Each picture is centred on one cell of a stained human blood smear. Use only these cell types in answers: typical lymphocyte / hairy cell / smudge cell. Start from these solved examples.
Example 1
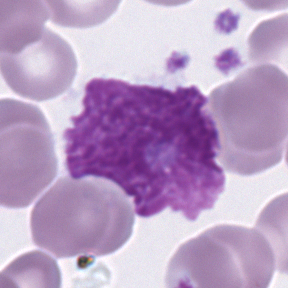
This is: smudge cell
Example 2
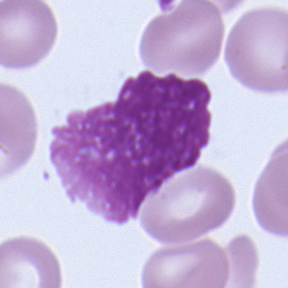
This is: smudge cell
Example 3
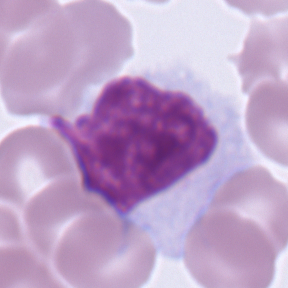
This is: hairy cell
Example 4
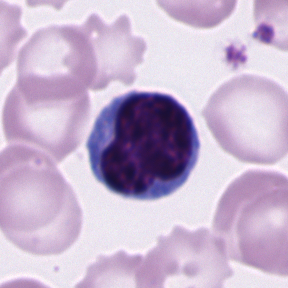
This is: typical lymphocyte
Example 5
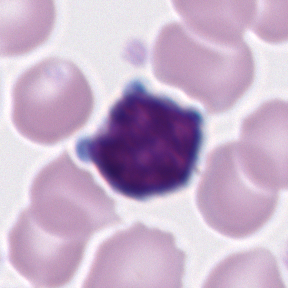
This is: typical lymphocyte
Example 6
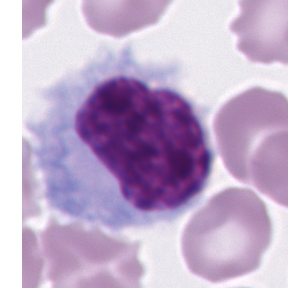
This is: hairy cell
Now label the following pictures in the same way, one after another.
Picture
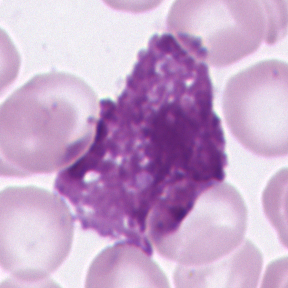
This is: smudge cell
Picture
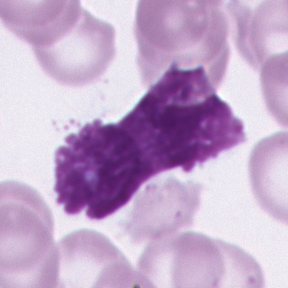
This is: smudge cell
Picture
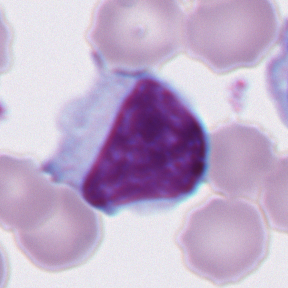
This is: typical lymphocyte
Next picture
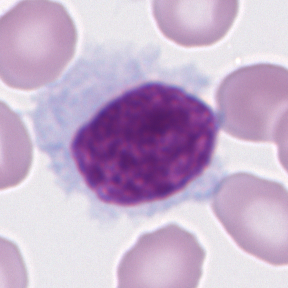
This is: hairy cell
